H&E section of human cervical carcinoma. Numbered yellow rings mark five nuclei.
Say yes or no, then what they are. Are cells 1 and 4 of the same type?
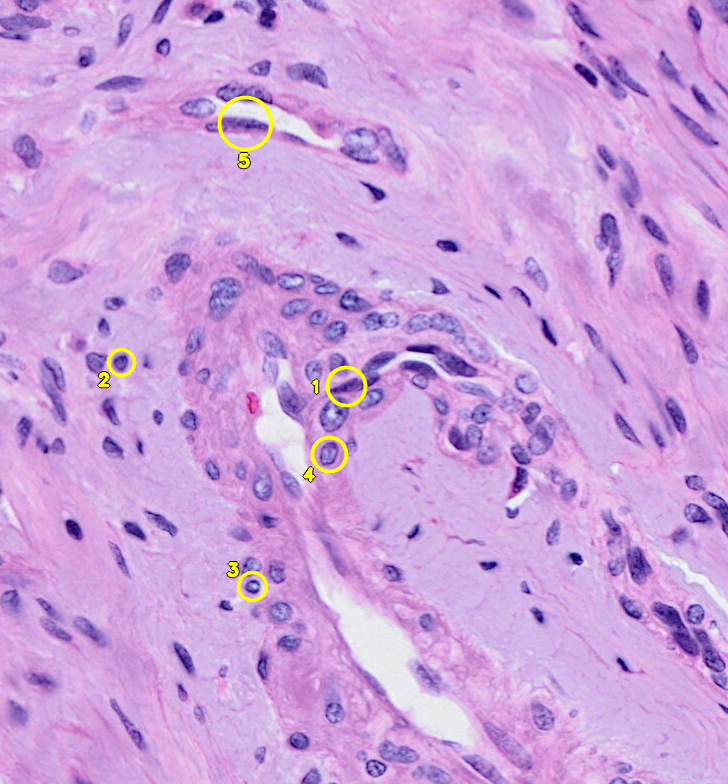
No: cell 1 is an endothelial cell, while cell 4 is a smooth muscle cell.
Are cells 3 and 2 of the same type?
No, cell 3 is a smooth muscle cell, and in contrast cell 2 is a fibroblast.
